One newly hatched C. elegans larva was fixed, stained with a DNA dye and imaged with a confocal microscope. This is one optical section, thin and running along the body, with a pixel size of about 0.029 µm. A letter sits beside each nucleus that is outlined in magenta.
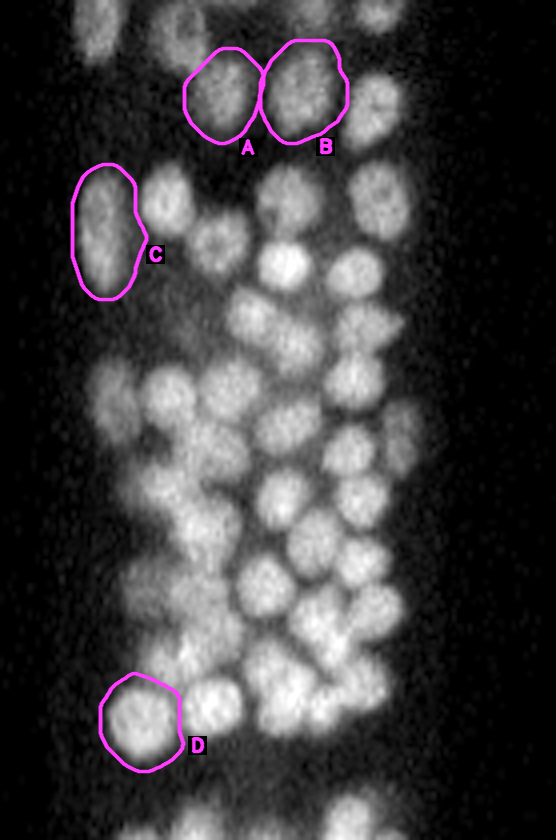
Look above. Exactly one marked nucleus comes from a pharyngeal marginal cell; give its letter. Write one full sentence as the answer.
A is from a pharyngeal marginal cell.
